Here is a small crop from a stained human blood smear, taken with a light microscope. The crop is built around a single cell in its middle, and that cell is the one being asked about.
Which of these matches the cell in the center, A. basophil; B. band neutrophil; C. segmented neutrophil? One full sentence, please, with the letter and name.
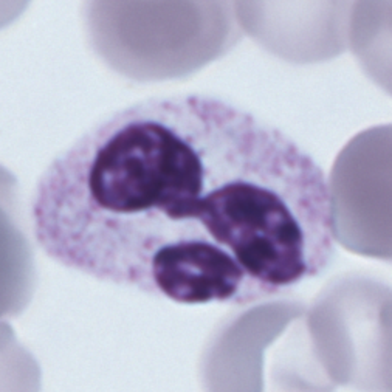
That middle cell is a segmented neutrophil, and option C is therefore correct.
